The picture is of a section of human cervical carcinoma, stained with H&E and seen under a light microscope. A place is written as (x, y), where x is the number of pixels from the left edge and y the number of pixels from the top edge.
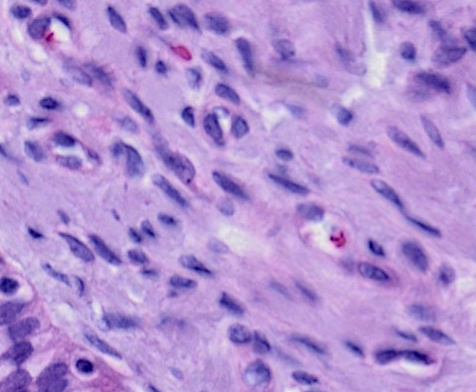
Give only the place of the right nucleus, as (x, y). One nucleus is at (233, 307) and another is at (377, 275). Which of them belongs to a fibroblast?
(233, 307)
